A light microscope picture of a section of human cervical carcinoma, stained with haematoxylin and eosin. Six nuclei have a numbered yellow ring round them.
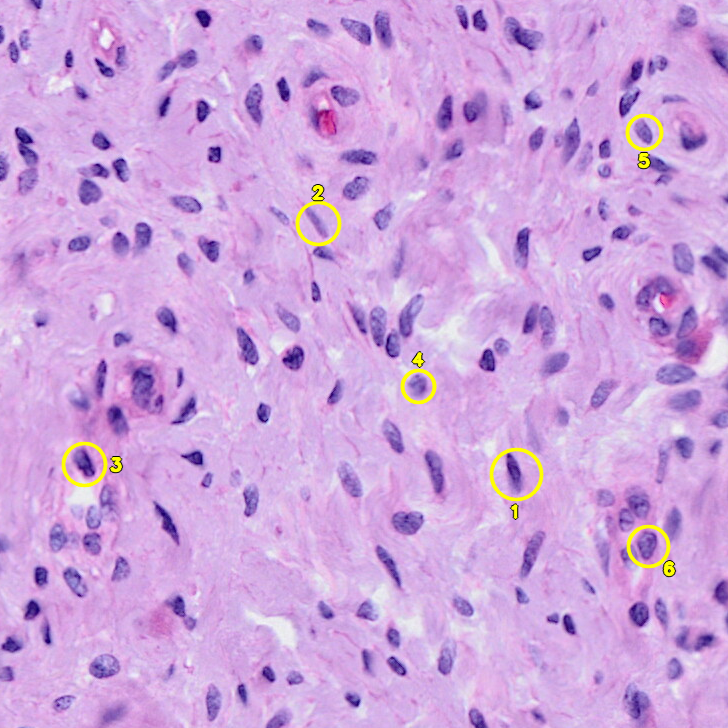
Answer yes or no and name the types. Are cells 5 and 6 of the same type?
No, that does not hold; cell 5 is a fibroblast and cell 6 is an endothelial cell.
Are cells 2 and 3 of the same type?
No, here cell 2 is a fibroblast, whereas cell 3 is an endothelial cell.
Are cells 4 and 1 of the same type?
Yes: cells 4 and 1 are both fibroblasts.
